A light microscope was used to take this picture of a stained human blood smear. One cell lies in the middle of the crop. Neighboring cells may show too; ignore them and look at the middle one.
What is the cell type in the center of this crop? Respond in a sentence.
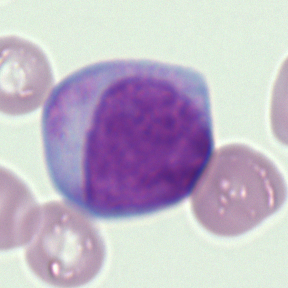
Within this crop, an atypical promyelocyte occupies the central position.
